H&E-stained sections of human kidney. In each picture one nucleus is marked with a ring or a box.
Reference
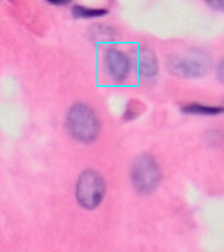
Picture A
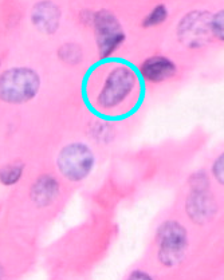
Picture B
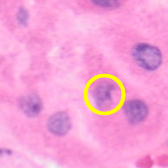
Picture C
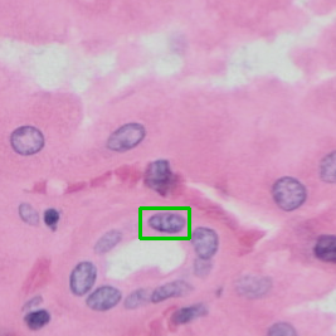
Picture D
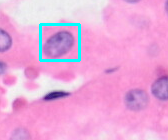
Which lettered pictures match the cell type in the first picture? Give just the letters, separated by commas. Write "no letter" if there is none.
A, C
